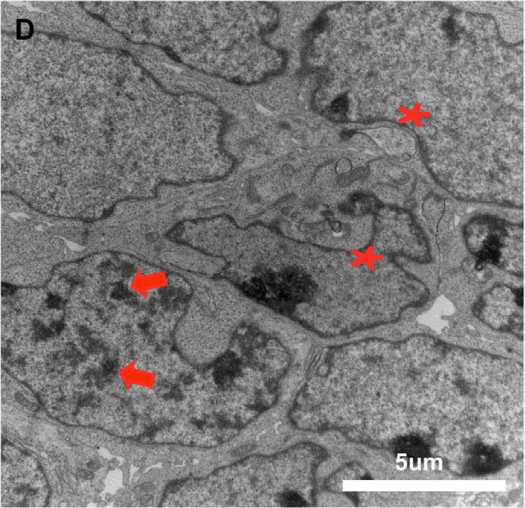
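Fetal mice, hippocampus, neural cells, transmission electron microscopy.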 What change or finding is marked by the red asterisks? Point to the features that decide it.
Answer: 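Nuclei shrinkage. The asterisks sit at nuclear envelopes that are folded and indented. The marked nuclei have an uneven, pulled-in outline.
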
